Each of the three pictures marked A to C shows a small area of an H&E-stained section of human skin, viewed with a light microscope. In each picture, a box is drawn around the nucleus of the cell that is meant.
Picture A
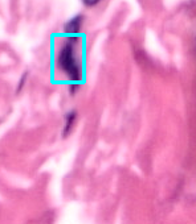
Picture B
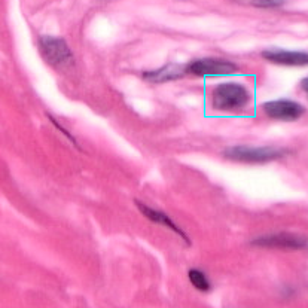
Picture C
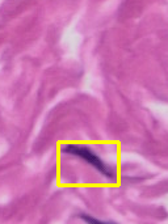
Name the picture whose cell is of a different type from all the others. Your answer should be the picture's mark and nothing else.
C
